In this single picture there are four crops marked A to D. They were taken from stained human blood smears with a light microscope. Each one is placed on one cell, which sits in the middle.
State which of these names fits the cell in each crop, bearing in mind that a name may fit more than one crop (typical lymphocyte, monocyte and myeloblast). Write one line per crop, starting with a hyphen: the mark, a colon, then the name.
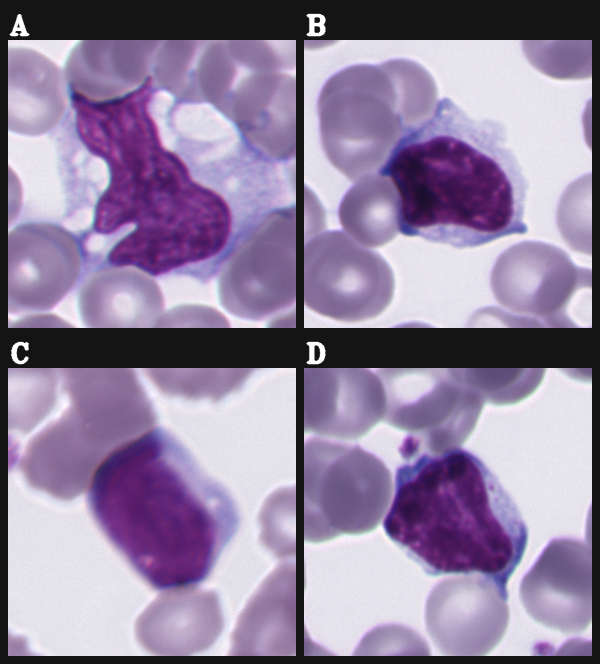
- A: monocyte
- B: typical lymphocyte
- C: myeloblast
- D: typical lymphocyte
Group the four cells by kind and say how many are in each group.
typical lymphocyte: 2
monocyte: 1
myeloblast: 1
